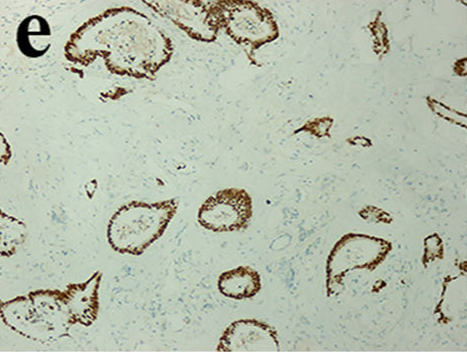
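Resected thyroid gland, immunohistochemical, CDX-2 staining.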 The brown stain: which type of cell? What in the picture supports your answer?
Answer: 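Tumor cells. Brown nuclei line the glandular structures. Stromal cells between the glands are blue.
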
